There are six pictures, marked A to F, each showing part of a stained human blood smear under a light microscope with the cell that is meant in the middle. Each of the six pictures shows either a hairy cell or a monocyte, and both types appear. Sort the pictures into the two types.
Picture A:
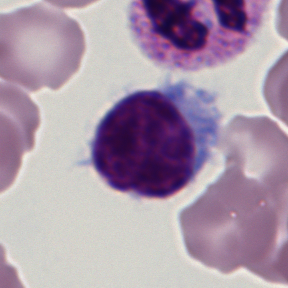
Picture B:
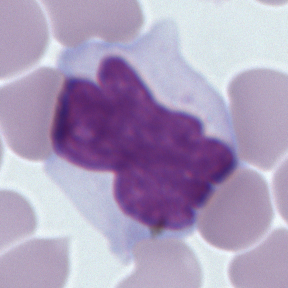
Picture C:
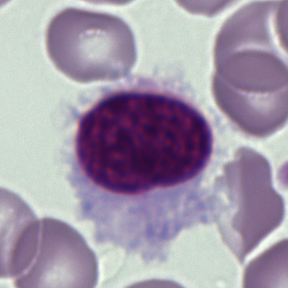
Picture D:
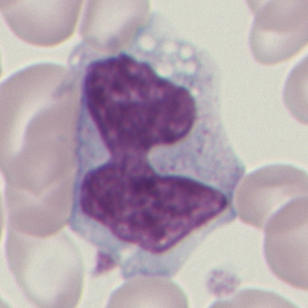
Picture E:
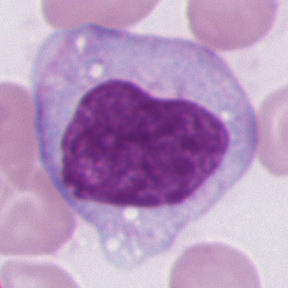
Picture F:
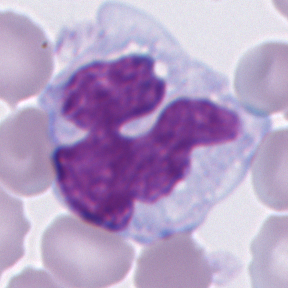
A: hairy cell
B: monocyte
C: hairy cell
D: monocyte
E: monocyte
F: monocyte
